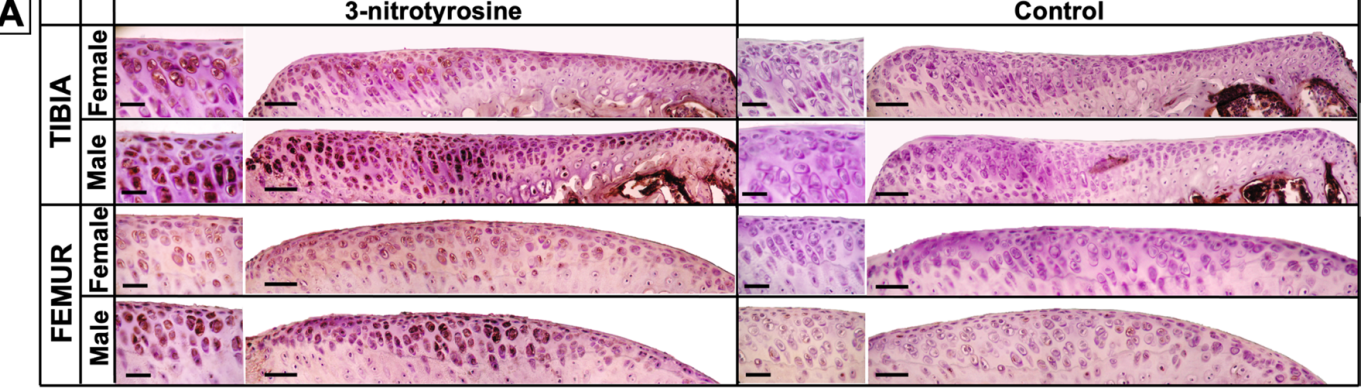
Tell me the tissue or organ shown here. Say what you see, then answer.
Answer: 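A smooth, curved free surface bounds a layer of matrix with scattered cells in lacunae. Cells near the surface are flattened and cells deeper in the layer are rounder, some in columns. Dark bone tissue lies at the deep edge in some images. The answer: full thickness articular cartilage.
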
